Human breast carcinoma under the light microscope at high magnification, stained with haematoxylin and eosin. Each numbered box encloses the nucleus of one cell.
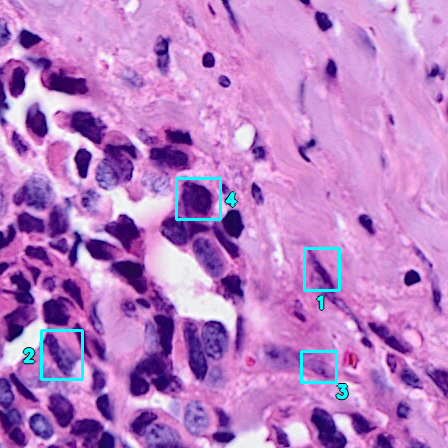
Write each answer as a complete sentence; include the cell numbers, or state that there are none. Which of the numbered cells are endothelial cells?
Exactly one numbered cell is an endothelial cell, and that cell is number 3.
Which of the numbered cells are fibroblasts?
Among the cells marked with numbers, the only one that is a fibroblast is number 1.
